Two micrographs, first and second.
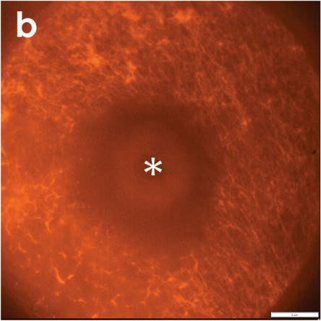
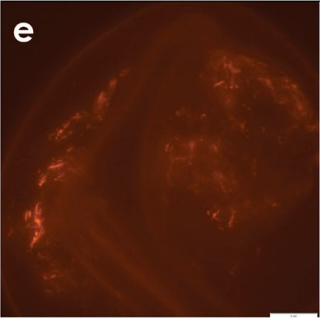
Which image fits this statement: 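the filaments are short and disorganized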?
The second image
